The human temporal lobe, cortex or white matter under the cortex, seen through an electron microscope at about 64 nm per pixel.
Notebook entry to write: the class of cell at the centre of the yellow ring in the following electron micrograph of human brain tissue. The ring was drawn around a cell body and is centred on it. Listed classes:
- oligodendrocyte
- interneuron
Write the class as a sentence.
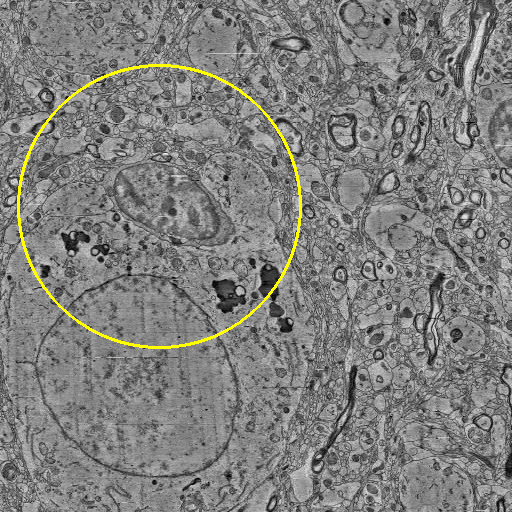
The yellow ring sits on an oligodendrocyte.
